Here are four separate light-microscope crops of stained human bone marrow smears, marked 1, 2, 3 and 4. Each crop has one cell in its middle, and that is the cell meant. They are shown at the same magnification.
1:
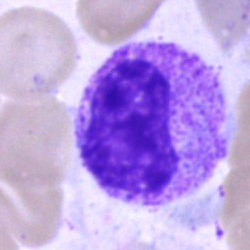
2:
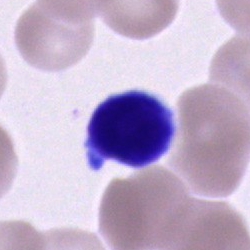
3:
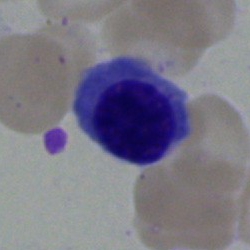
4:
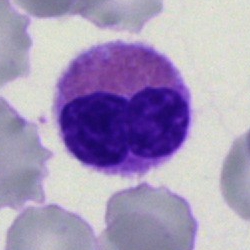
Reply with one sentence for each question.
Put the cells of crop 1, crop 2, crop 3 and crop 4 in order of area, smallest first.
From the smallest up, the order is 2, 3, 4, 1.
